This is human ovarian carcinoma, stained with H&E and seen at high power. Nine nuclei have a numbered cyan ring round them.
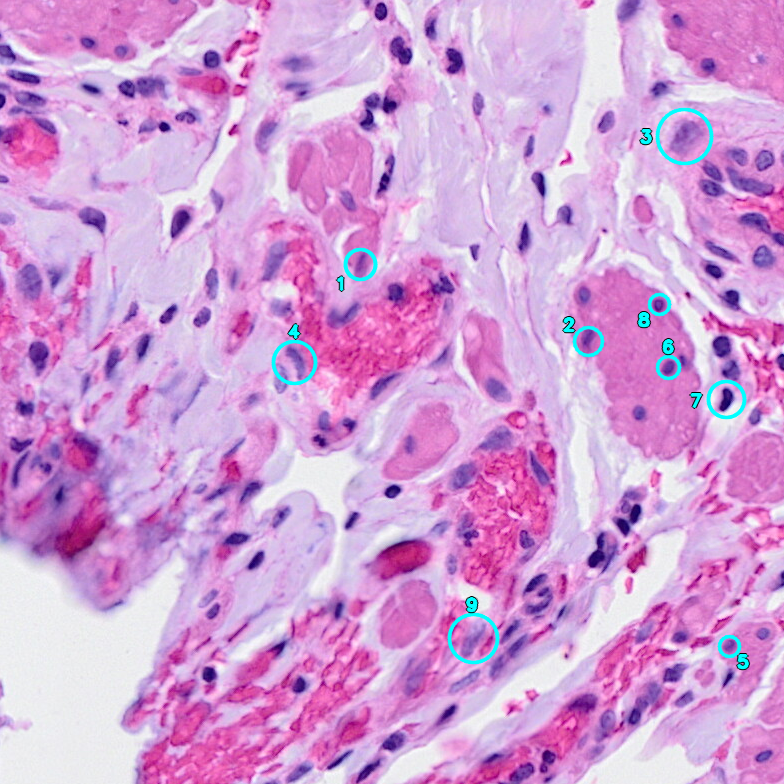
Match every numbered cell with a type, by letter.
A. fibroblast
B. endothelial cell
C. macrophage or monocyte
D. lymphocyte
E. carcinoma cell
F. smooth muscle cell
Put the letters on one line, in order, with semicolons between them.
F; F; A; B; F; F; D; F; B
